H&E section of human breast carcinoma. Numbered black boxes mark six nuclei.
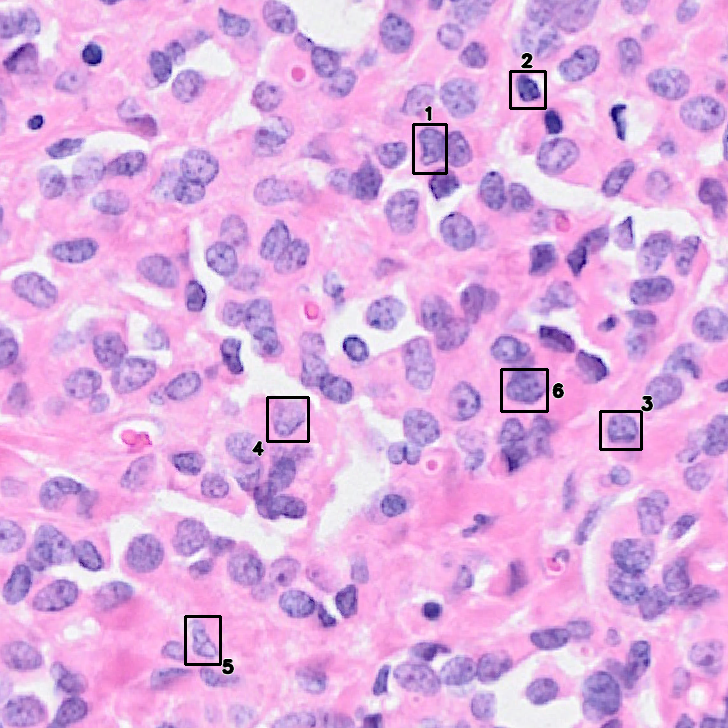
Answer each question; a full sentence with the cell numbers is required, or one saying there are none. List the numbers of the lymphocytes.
Only at number 2 is there a lymphocyte among the marked cells.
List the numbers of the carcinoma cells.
To be specific, the cells numbered 1, 3, 4 and 6 are carcinoma cells.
